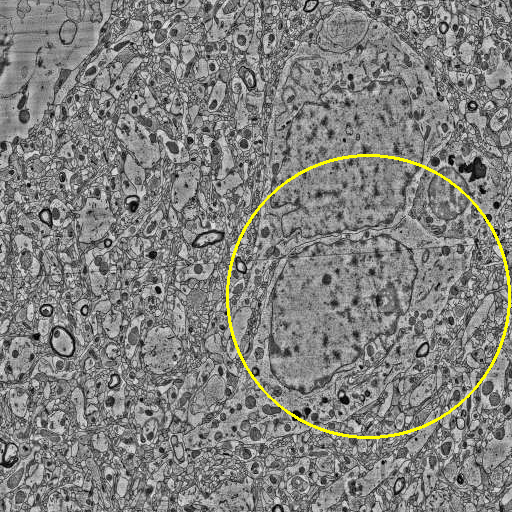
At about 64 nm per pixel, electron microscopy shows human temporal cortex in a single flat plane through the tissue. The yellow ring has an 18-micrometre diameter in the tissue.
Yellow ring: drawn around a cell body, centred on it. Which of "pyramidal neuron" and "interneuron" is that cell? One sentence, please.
That cell body is from an interneuron.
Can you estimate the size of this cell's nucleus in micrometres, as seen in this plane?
Roughly 12 by 8 micrometres in this plane, for the nucleus of the ringed cell.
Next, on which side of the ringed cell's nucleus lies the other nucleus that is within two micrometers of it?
That other nucleus sits to the upper right of it.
